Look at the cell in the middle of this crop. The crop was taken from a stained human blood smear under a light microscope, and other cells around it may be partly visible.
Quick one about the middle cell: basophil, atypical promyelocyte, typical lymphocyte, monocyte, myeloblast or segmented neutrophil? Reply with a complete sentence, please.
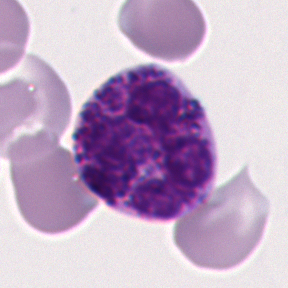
The single cell at the center of the crop is a basophil.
